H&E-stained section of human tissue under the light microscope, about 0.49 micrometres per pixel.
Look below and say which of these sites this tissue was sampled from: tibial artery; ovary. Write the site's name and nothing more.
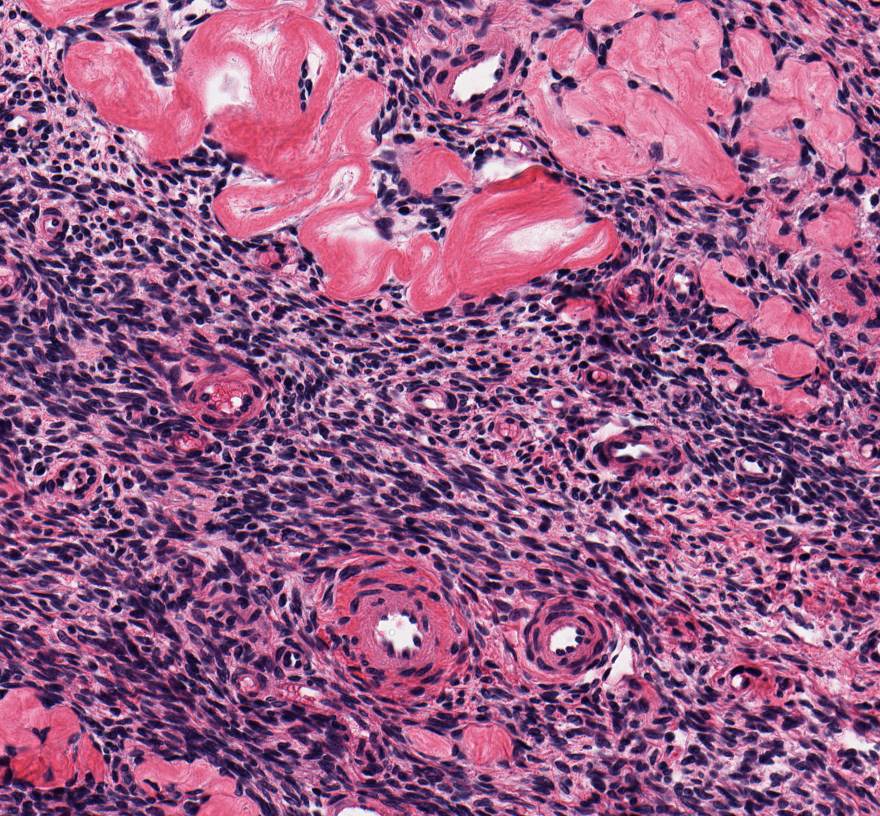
ovary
